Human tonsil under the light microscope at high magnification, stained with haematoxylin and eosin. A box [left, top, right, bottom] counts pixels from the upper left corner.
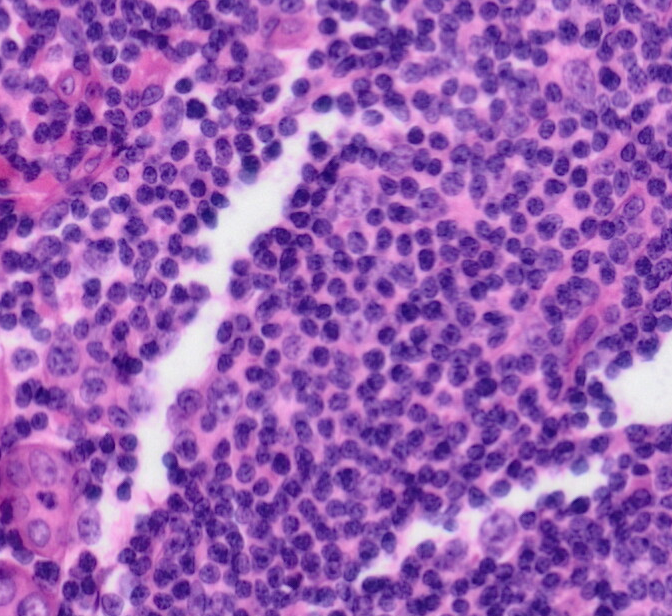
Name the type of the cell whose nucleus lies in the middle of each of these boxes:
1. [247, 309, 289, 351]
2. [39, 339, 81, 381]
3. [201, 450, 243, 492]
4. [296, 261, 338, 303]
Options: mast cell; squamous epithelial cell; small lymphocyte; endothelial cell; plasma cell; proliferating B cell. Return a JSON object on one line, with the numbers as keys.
{"1": "small lymphocyte", "2": "proliferating B cell", "3": "small lymphocyte", "4": "small lymphocyte"}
